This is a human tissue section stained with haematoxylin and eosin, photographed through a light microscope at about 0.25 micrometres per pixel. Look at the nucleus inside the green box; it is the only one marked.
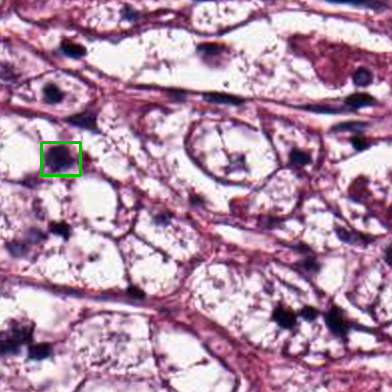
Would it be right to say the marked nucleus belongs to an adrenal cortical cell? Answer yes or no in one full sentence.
Yes, the nucleus that has been marked is that of an adrenal cortical cell.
